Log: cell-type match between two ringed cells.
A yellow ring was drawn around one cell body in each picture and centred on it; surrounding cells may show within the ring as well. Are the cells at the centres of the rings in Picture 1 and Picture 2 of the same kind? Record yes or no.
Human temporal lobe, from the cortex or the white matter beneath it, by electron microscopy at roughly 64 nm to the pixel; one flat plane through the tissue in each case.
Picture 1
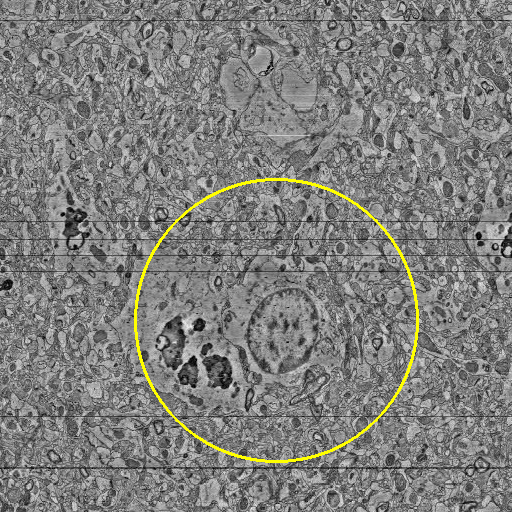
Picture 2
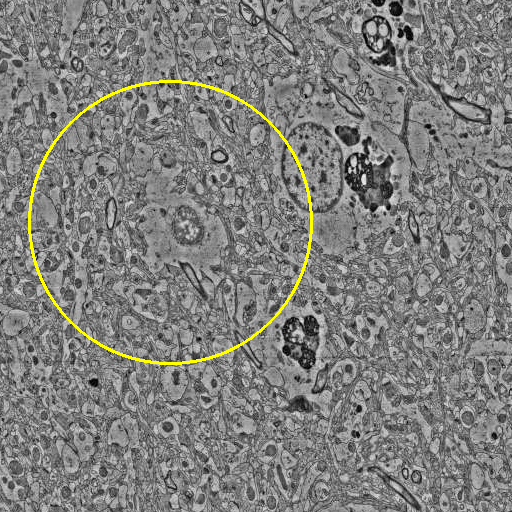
yes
